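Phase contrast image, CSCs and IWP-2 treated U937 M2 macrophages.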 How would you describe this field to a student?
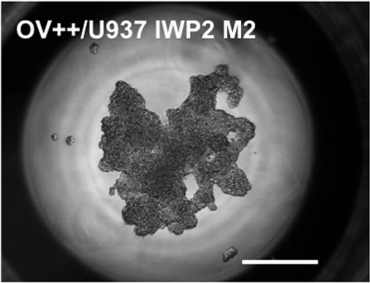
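This is a three-dimensional aggregate of cells, an aggregated spheroid, seen from above inside a round culture well. The mass is large and irregular rather than smoothly round, with lobes and knobbly projections around its edge. Its centre is dark because many layers of cells are stacked there, while the margins are thinner and lighter, so the rough surface of packed cells can be made out. A few small loose clusters or single cells lie apart from the main mass on the bright background of the well.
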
